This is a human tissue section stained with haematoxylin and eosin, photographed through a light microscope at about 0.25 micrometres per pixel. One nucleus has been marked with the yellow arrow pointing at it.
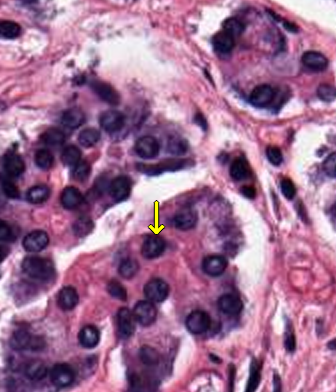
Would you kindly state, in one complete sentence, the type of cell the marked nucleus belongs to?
In this section, the marked nucleus is that of a pancreatic acinar cell.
